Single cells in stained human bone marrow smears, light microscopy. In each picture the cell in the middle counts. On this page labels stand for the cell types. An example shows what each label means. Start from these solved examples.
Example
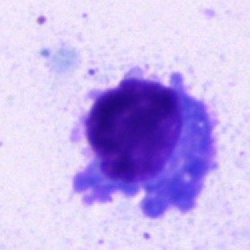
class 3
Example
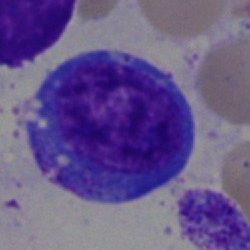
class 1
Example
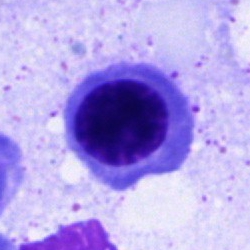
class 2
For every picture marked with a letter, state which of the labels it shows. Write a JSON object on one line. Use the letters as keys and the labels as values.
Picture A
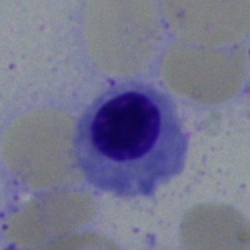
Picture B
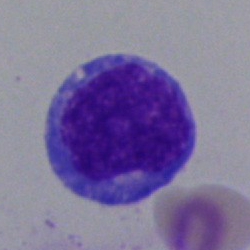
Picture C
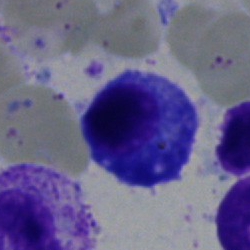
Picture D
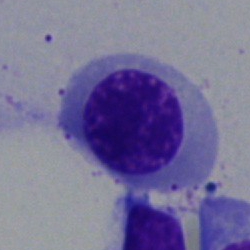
{"A": "class 2", "B": "class 1", "C": "class 3", "D": "class 2"}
